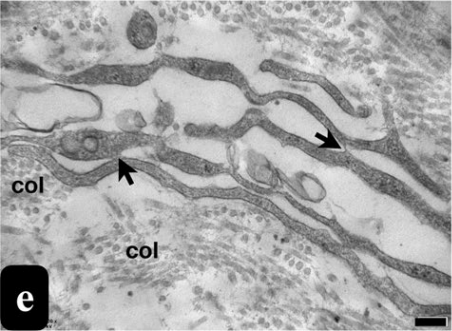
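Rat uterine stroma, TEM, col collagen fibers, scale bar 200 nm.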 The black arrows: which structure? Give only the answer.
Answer: homocellular connections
